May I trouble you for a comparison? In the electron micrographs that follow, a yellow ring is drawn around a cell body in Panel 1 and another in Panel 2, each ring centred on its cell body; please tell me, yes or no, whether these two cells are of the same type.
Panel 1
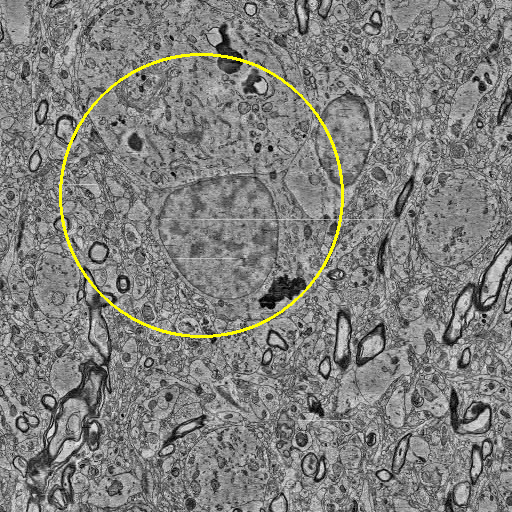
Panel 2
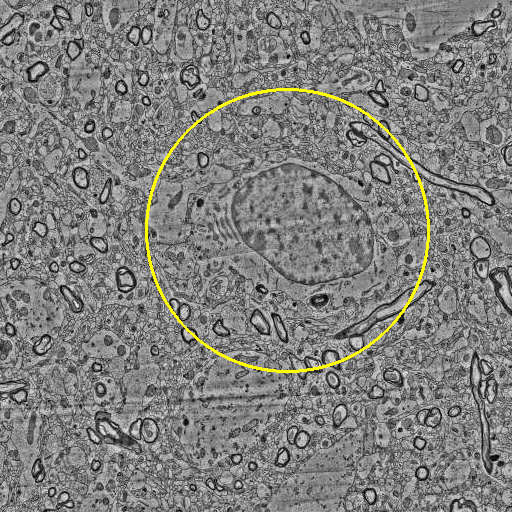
no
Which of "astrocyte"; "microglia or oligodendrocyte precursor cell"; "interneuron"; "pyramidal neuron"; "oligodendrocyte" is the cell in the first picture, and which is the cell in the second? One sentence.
The two differ: the first cell is an oligodendrocyte and the second is a microglial cell or oligodendrocyte precursor cell.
